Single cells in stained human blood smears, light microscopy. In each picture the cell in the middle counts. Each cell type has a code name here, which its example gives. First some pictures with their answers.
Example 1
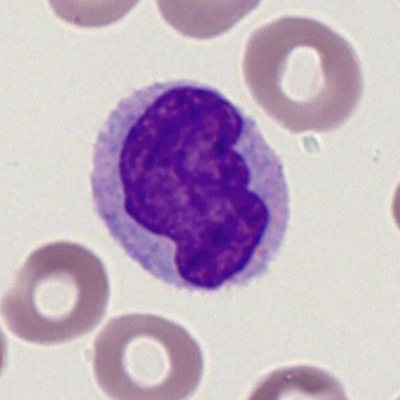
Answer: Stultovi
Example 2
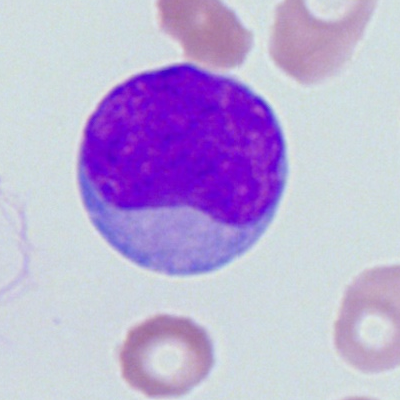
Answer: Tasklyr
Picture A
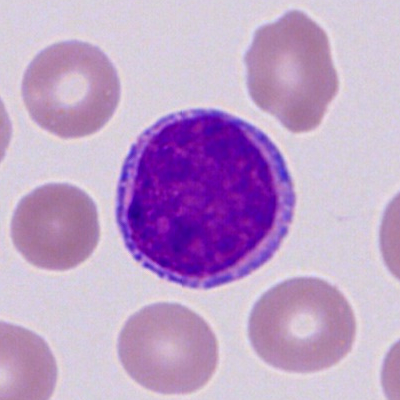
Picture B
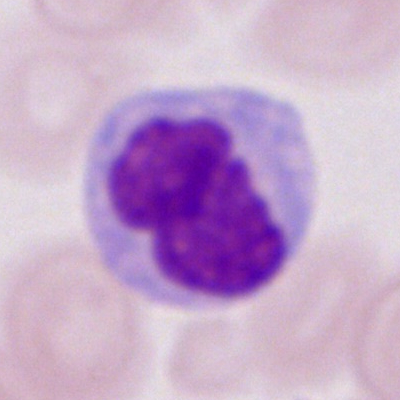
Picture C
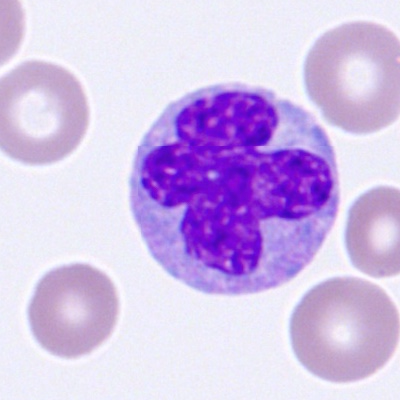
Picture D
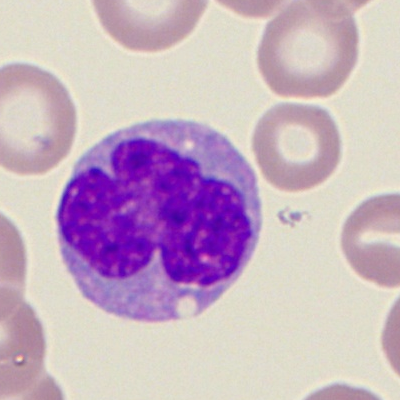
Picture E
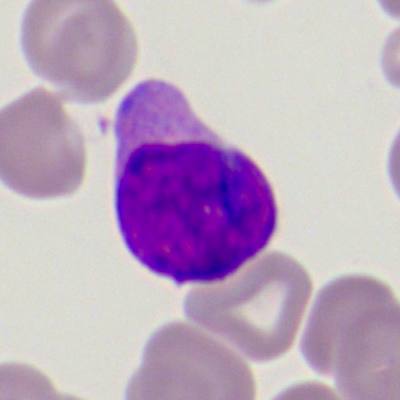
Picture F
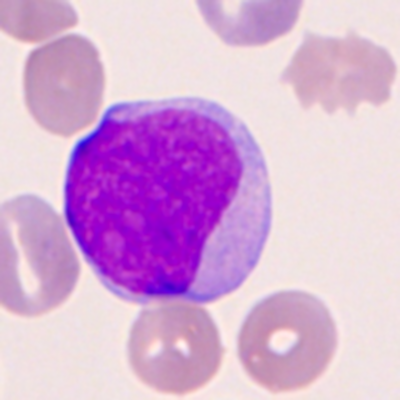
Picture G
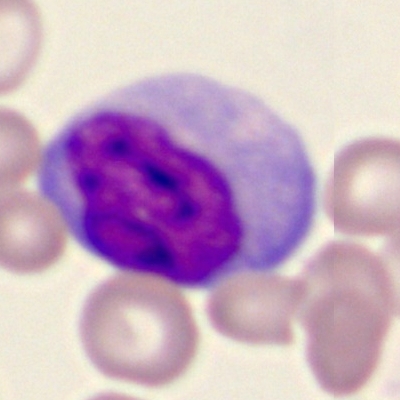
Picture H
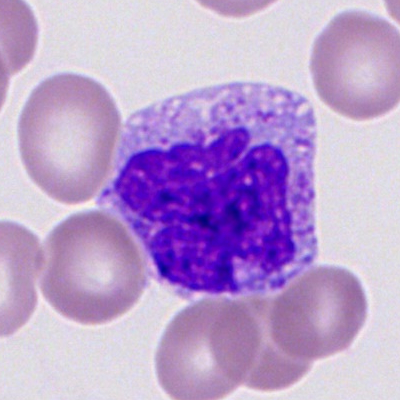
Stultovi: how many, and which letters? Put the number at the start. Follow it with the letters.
5, namely B, C, D, G, H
